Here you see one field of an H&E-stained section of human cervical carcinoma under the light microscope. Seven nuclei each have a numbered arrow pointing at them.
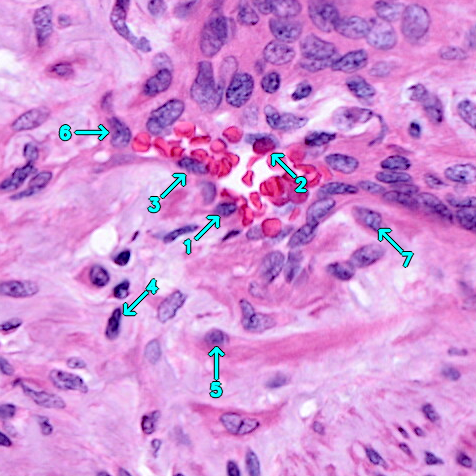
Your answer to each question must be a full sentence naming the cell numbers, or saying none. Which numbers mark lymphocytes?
Only cell 4 is a lymphocyte; none of the other numbered cells is.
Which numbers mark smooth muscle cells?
The cells 5 and 7 in this section are smooth muscle cells.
